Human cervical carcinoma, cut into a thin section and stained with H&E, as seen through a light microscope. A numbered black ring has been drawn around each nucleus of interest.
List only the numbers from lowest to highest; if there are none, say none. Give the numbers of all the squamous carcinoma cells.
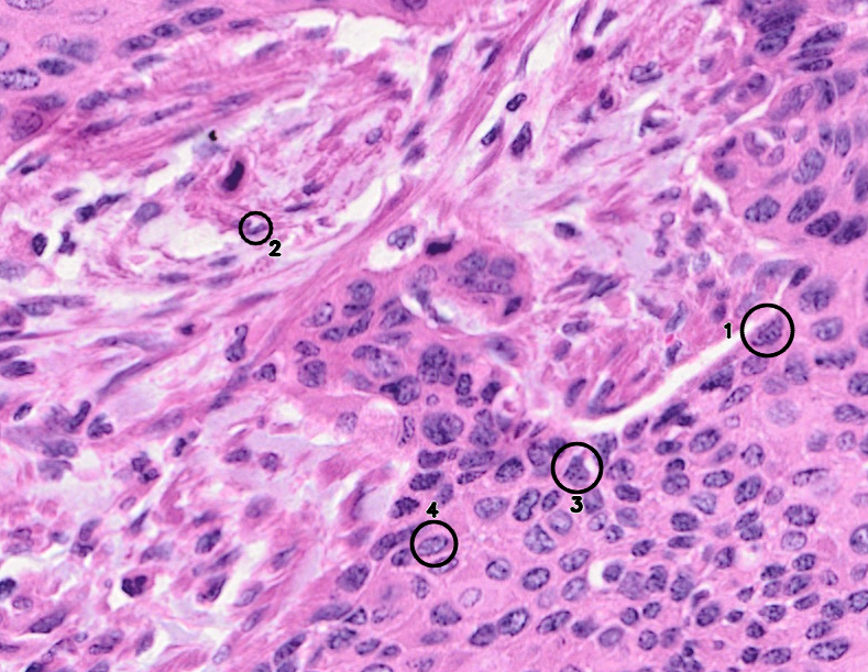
1, 3, 4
